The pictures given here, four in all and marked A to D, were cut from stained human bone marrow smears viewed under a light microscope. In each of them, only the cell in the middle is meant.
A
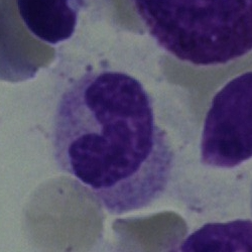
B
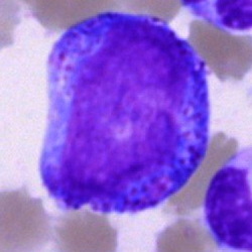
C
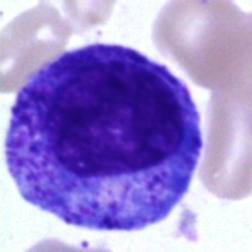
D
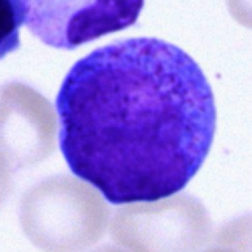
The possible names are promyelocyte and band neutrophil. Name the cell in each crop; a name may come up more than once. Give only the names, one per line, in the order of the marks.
band neutrophil
promyelocyte
promyelocyte
promyelocyte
